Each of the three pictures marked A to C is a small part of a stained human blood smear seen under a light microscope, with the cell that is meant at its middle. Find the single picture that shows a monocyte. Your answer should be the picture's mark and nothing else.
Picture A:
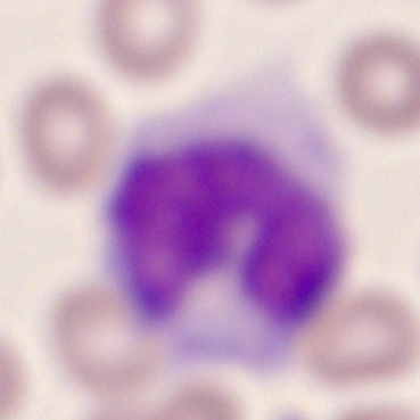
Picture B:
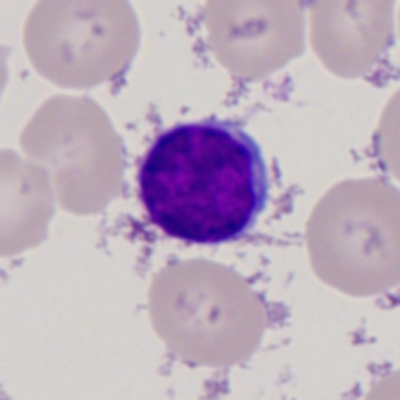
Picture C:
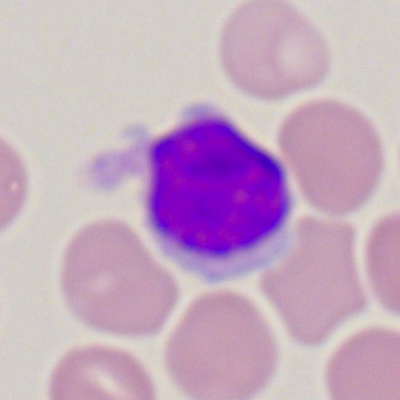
A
